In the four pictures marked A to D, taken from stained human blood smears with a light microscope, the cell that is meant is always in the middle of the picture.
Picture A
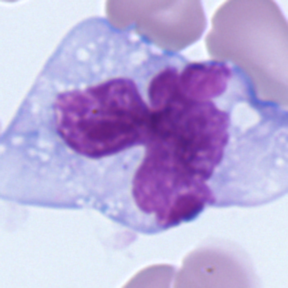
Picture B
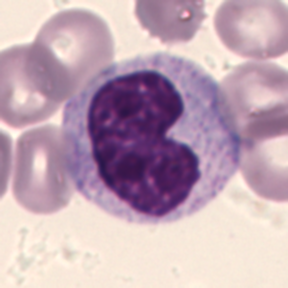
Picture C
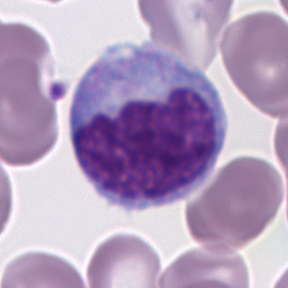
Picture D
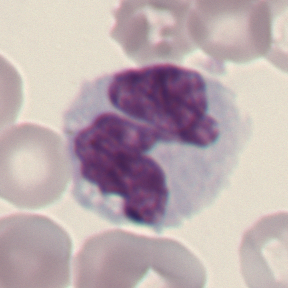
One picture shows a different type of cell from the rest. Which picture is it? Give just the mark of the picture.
B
